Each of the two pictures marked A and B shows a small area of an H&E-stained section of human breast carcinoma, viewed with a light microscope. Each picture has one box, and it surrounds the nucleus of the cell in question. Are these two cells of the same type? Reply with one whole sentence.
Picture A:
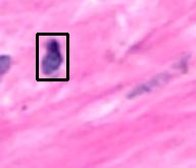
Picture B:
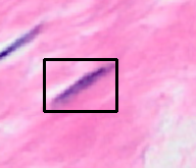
No. Picture A shows a lymphocyte, but picture B shows a fibroblast.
